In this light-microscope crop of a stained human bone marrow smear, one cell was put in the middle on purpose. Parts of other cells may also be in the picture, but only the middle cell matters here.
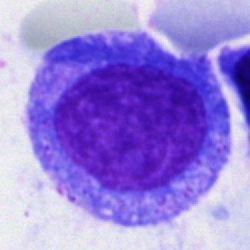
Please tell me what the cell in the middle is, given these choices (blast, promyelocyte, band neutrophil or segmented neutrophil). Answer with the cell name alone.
blast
